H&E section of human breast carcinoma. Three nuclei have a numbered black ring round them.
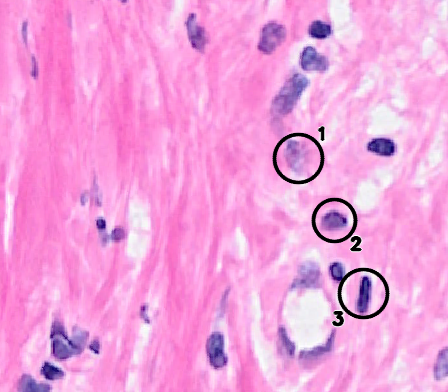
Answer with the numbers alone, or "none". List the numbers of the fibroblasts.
1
